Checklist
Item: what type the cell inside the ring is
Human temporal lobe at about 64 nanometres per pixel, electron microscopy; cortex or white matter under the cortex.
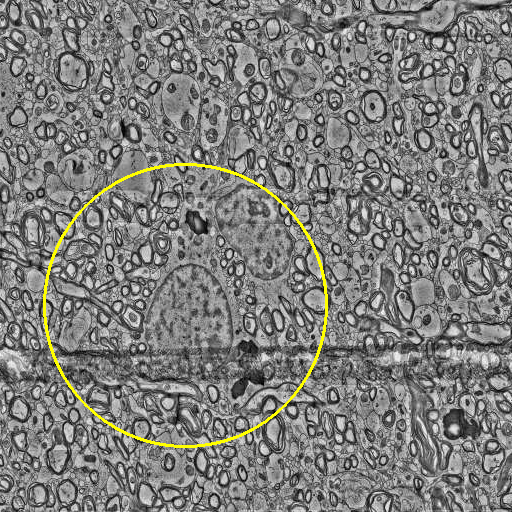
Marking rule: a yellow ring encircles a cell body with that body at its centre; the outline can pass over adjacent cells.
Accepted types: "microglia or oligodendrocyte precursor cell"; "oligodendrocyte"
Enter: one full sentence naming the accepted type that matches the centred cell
The entry is that an oligodendrocyte lies at the centre of the yellow ring.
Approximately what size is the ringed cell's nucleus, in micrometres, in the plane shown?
The ringed cell's nucleus measures approximately 8 by 6 micrometres in this plane.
